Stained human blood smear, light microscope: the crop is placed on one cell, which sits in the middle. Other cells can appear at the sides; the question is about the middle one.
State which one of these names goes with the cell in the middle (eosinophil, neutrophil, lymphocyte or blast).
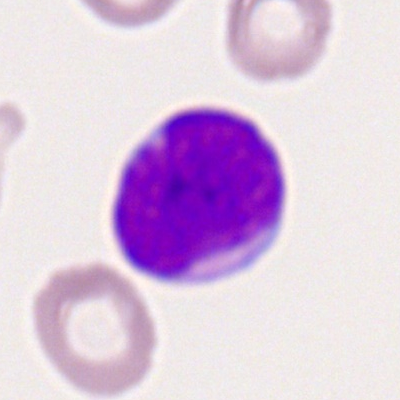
blast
